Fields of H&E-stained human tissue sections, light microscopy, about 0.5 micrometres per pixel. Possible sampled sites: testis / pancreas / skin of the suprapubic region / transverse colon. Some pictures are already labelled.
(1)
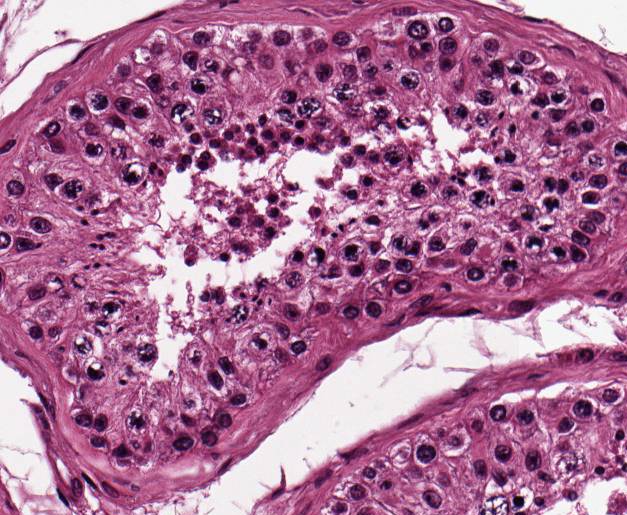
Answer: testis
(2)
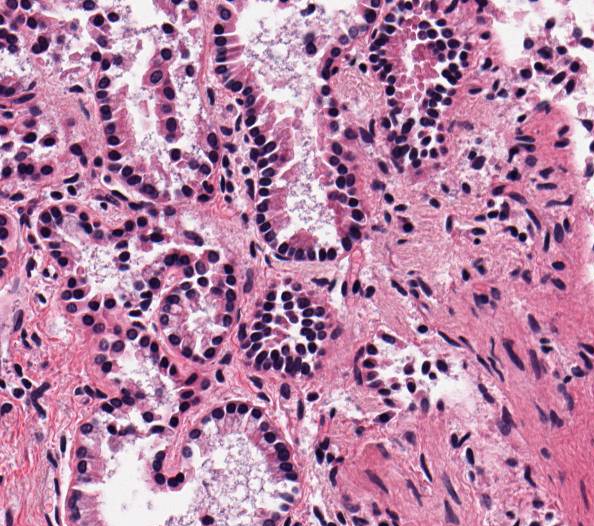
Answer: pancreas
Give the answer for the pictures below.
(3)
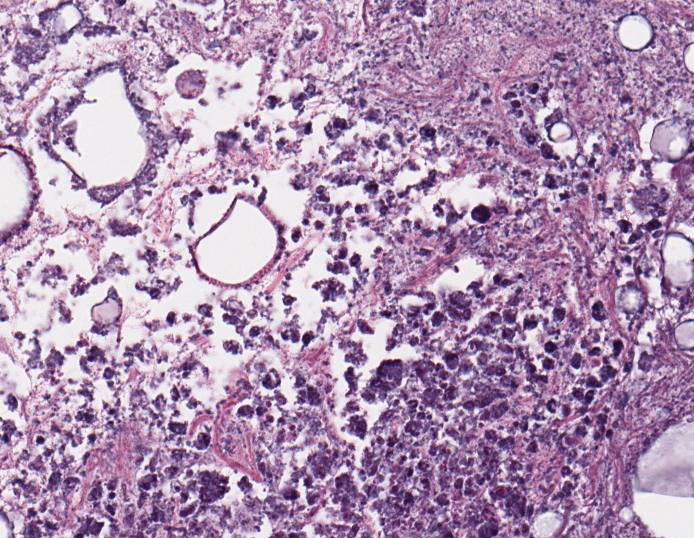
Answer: pancreas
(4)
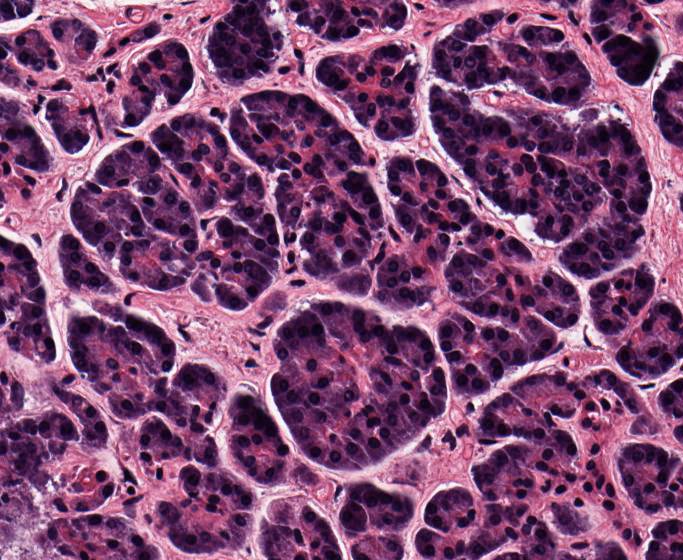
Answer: pancreas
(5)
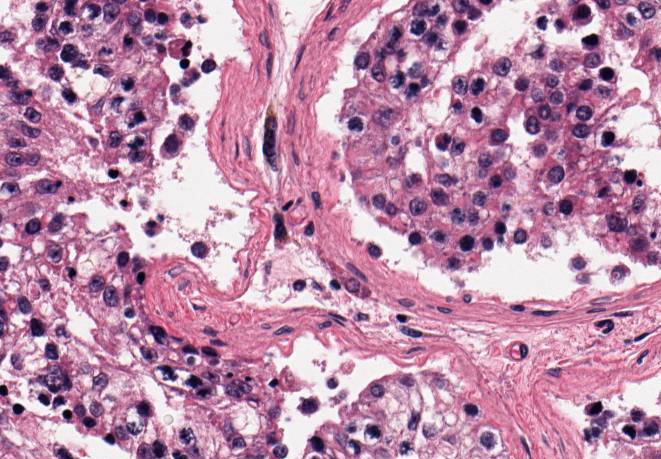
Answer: testis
